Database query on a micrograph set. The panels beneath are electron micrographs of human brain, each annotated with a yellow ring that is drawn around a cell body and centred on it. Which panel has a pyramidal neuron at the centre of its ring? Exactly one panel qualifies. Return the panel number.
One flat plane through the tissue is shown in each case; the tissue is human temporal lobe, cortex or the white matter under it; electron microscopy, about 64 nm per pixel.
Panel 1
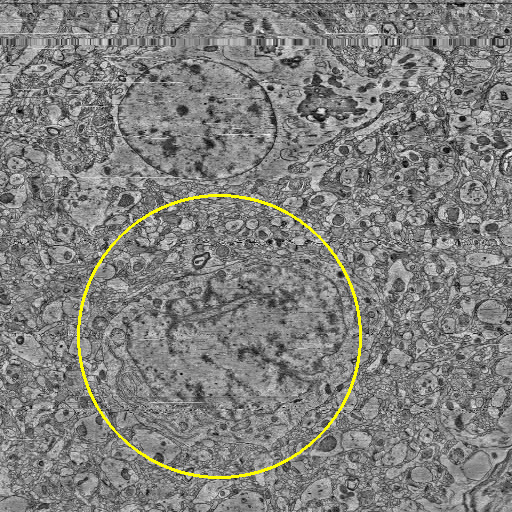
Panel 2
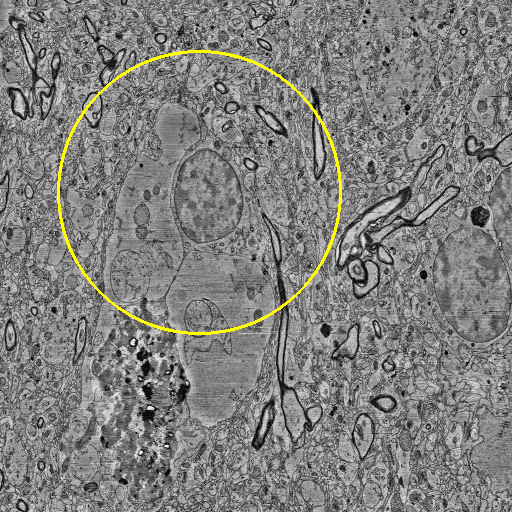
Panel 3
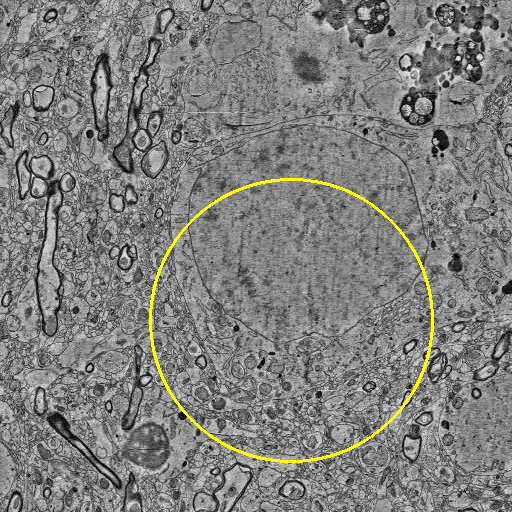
3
